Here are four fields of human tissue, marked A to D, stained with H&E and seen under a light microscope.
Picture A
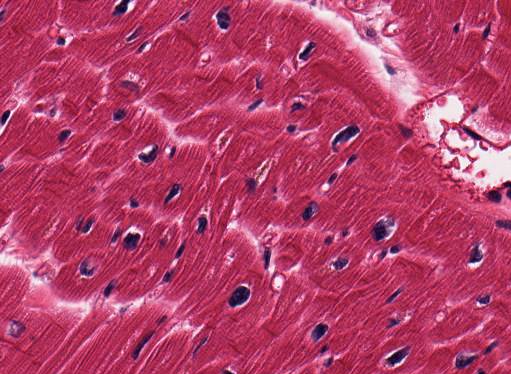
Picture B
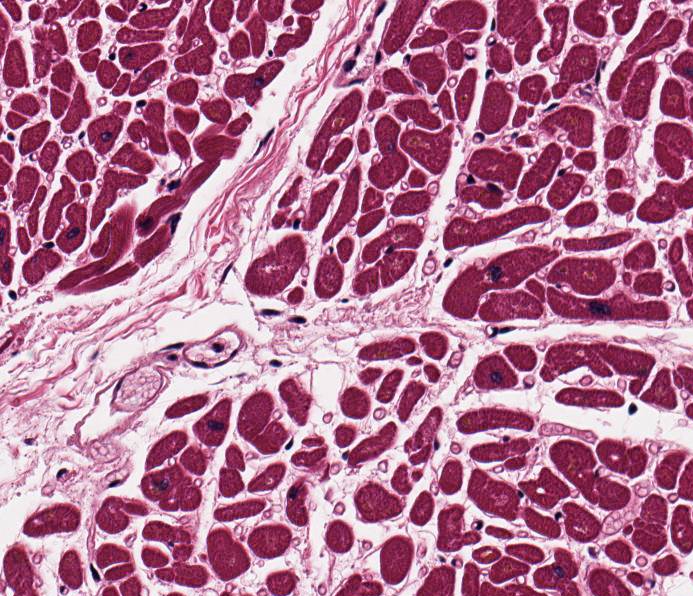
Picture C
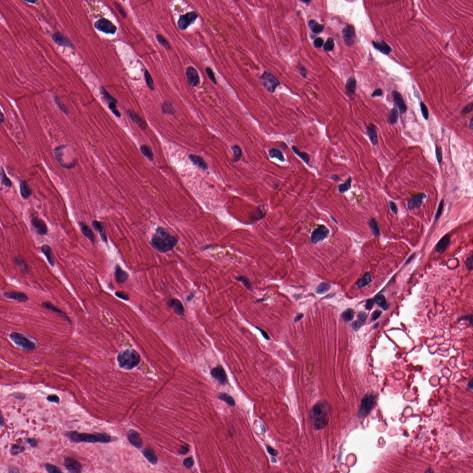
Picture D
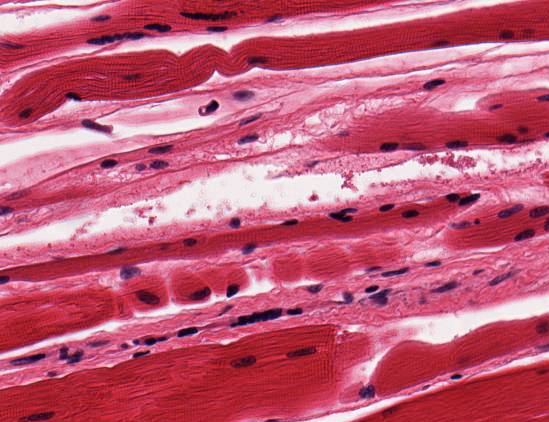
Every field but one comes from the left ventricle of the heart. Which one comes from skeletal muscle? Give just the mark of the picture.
D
